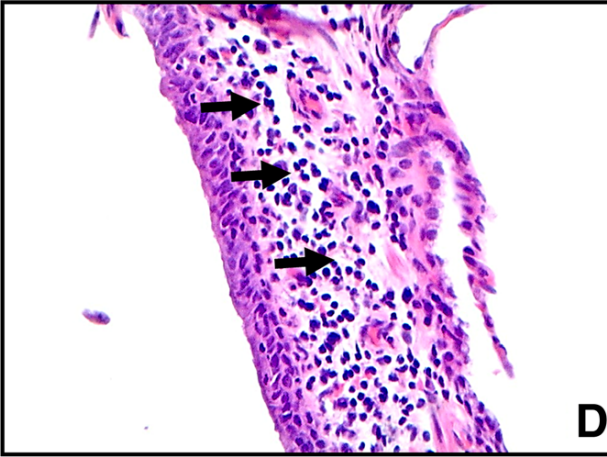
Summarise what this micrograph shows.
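The wall of a small airway is covered on its luminal side by a pink epithelial layer with ovoid nuclei. Below it the wall is packed with many small round cells with dark blue, dense nuclei and little cytoplasm, lying in loose pink stroma. Such crowded small round cells in the airway wall are inflammatory cells infiltrating the bronchiole.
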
